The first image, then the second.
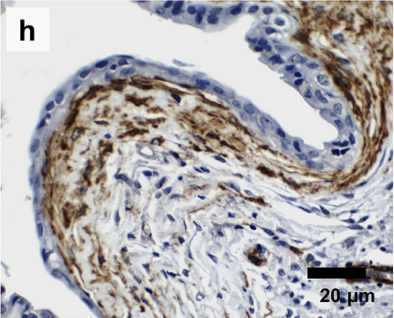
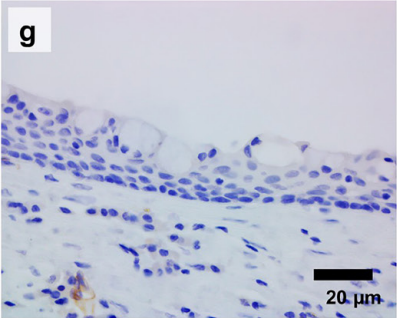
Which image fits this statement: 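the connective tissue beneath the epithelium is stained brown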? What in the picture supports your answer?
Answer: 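First image: a broad band of brown-stained fibrous tissue lies under the epithelium.
The first image.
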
